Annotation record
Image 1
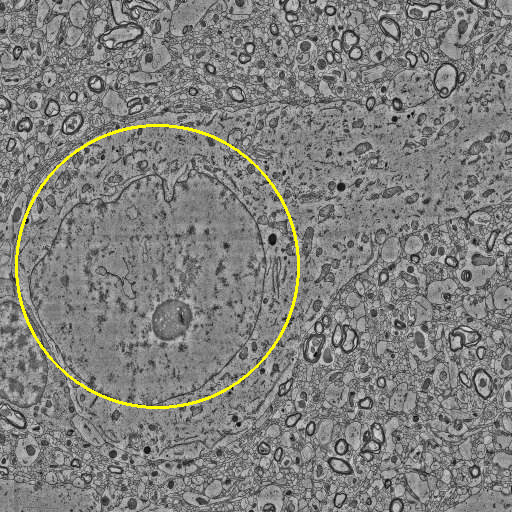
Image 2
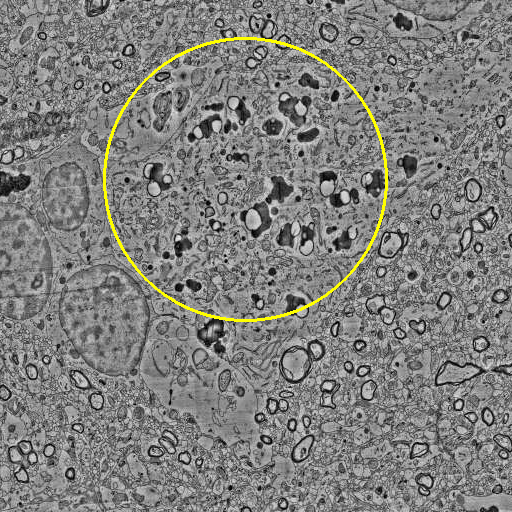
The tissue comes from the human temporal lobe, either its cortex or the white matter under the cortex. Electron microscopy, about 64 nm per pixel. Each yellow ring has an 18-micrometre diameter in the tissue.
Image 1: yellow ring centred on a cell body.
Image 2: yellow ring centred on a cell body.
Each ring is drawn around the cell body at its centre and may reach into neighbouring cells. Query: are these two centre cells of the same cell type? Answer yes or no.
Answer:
yes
